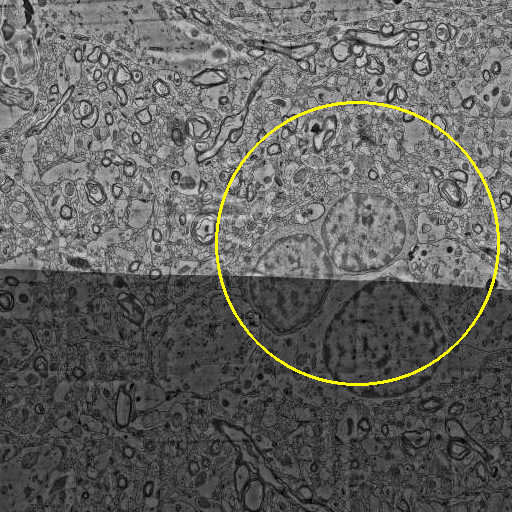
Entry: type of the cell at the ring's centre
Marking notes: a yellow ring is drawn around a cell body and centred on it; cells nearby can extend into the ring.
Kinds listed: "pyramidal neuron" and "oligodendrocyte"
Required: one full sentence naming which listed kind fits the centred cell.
My entry names an oligodendrocyte as the cell whose body the yellow ring centres on.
